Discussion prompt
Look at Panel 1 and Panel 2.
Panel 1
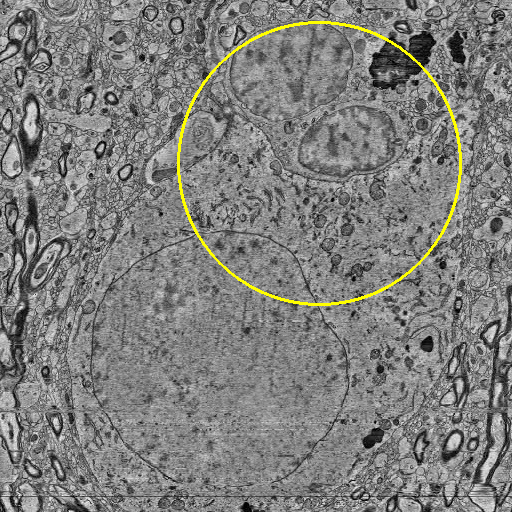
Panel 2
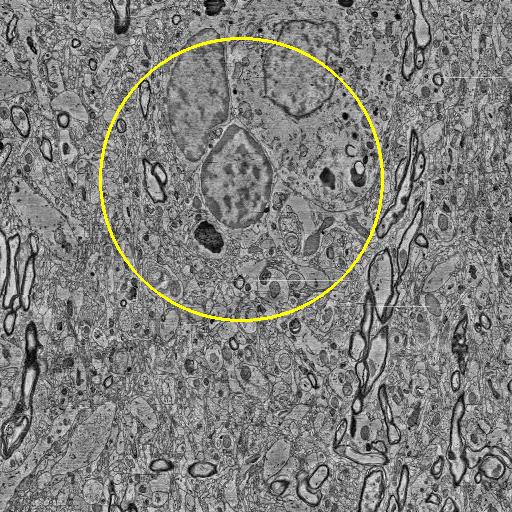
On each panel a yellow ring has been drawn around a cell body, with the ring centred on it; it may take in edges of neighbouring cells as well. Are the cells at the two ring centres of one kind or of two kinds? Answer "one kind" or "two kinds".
two kinds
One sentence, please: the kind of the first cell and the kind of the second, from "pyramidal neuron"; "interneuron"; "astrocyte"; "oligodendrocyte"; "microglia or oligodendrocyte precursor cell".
The ring in the first picture surrounds an oligodendrocyte, and the ring in the second surrounds a microglial cell or oligodendrocyte precursor cell.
